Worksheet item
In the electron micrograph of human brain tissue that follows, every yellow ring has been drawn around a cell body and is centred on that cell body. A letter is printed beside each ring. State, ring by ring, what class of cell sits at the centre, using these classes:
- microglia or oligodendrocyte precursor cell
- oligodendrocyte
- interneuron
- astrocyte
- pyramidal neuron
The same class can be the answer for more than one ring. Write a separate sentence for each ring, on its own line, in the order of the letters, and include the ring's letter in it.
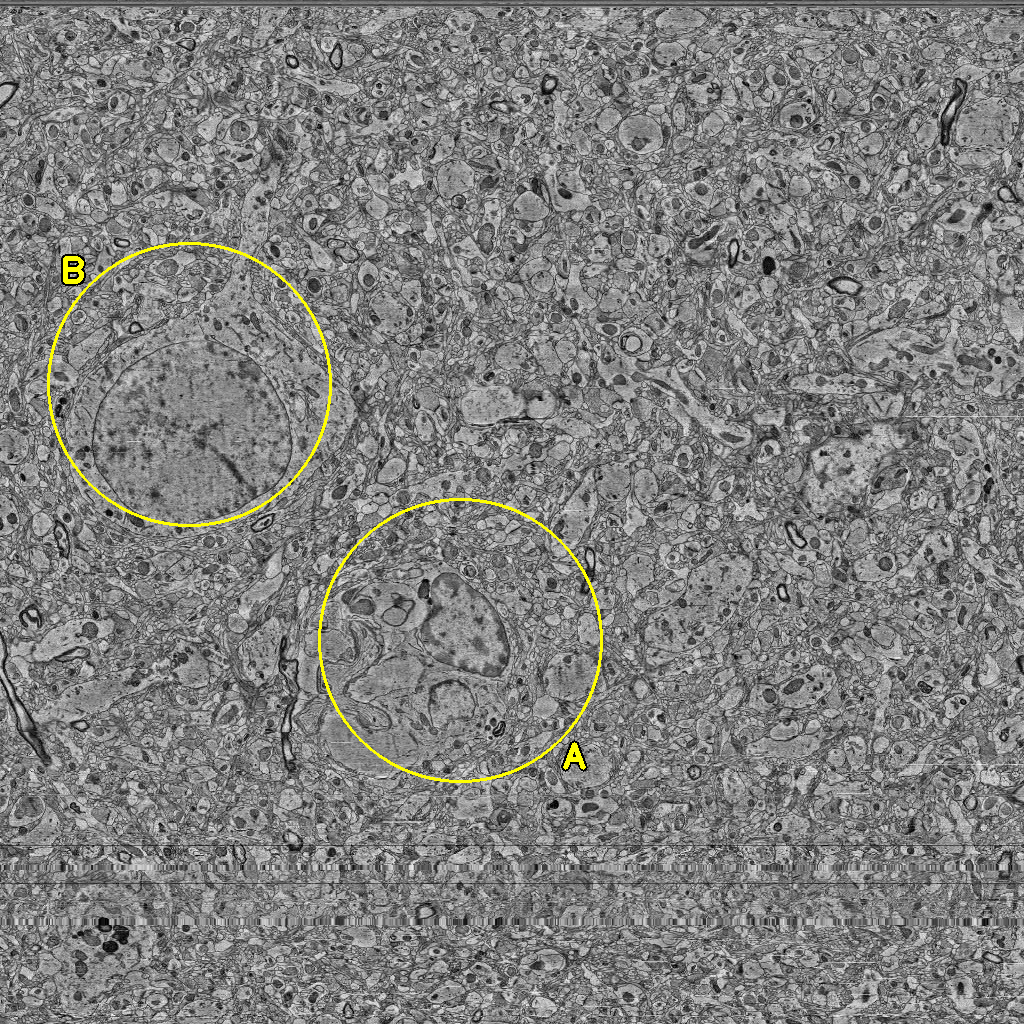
At the centre of ring A sits a microglial cell or oligodendrocyte precursor cell.
At the centre of ring B sits a pyramidal neuron.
